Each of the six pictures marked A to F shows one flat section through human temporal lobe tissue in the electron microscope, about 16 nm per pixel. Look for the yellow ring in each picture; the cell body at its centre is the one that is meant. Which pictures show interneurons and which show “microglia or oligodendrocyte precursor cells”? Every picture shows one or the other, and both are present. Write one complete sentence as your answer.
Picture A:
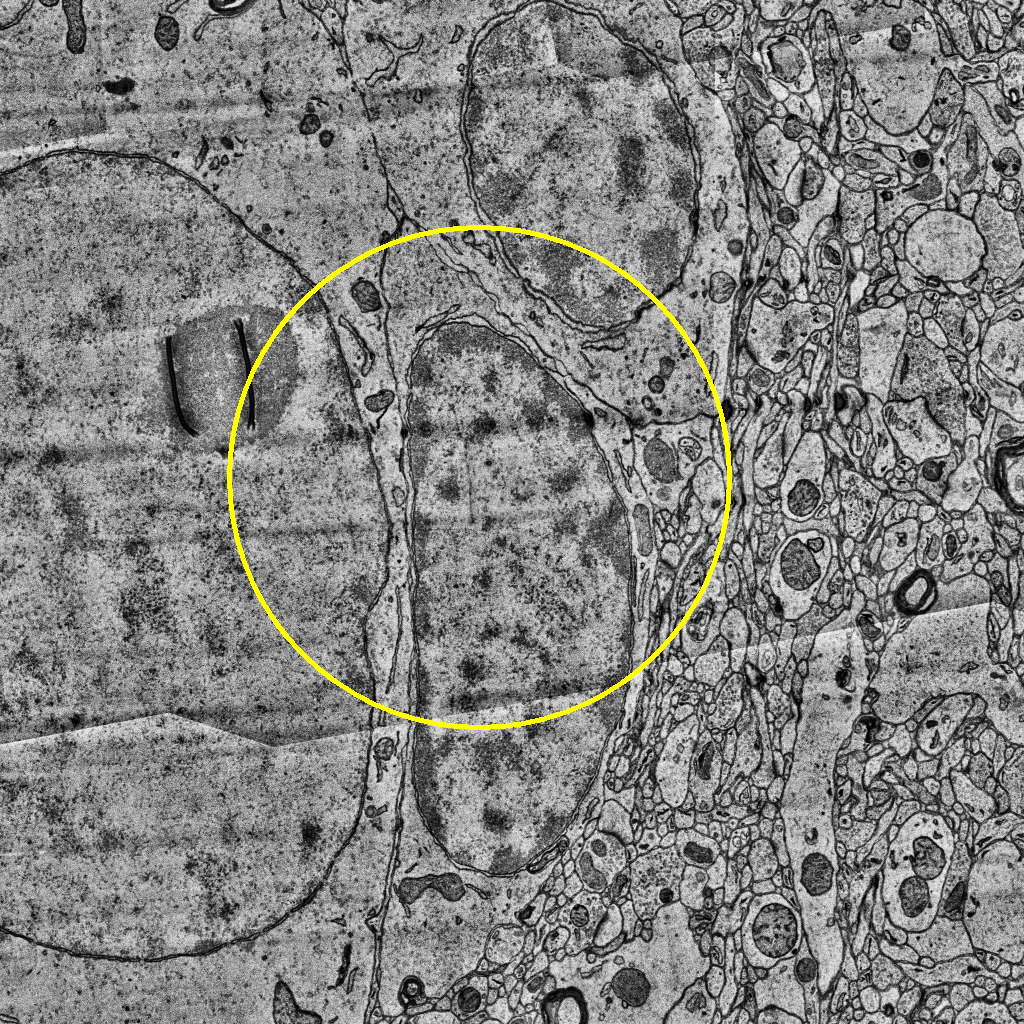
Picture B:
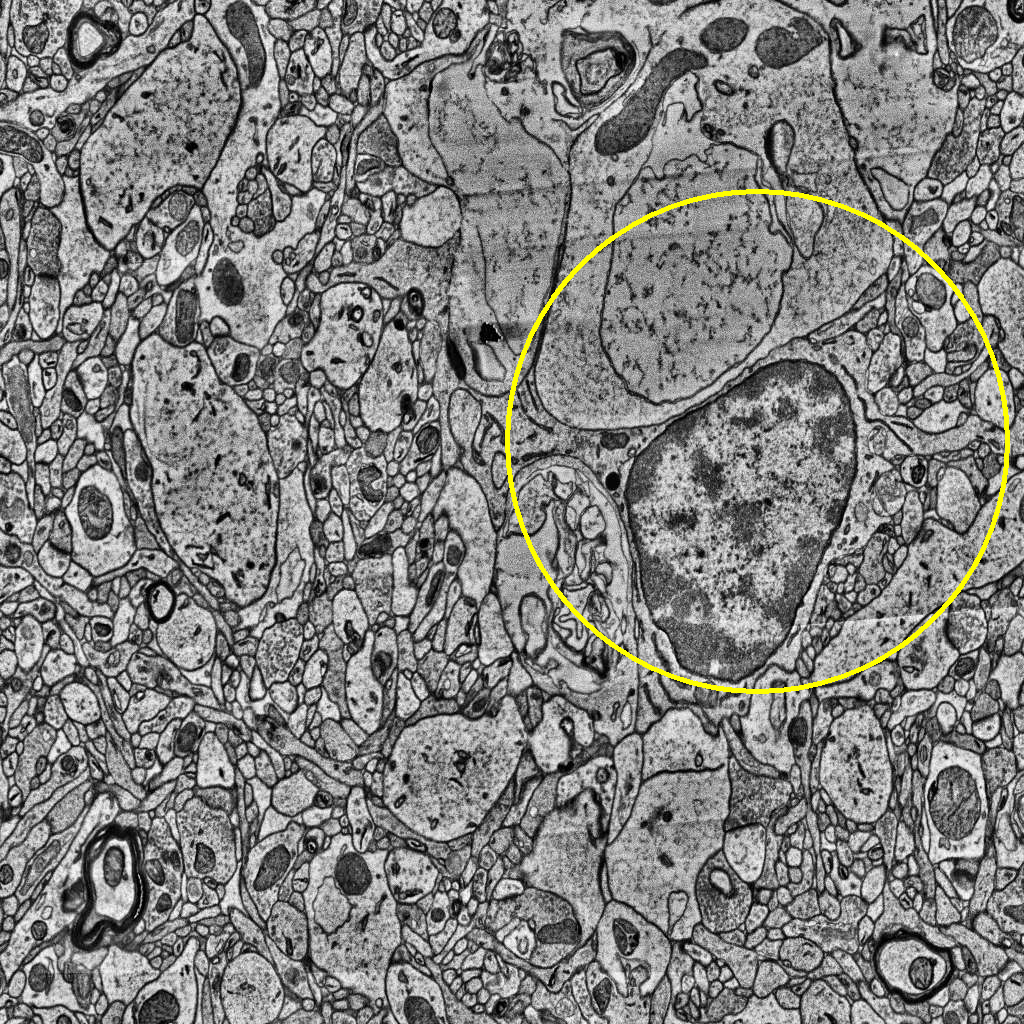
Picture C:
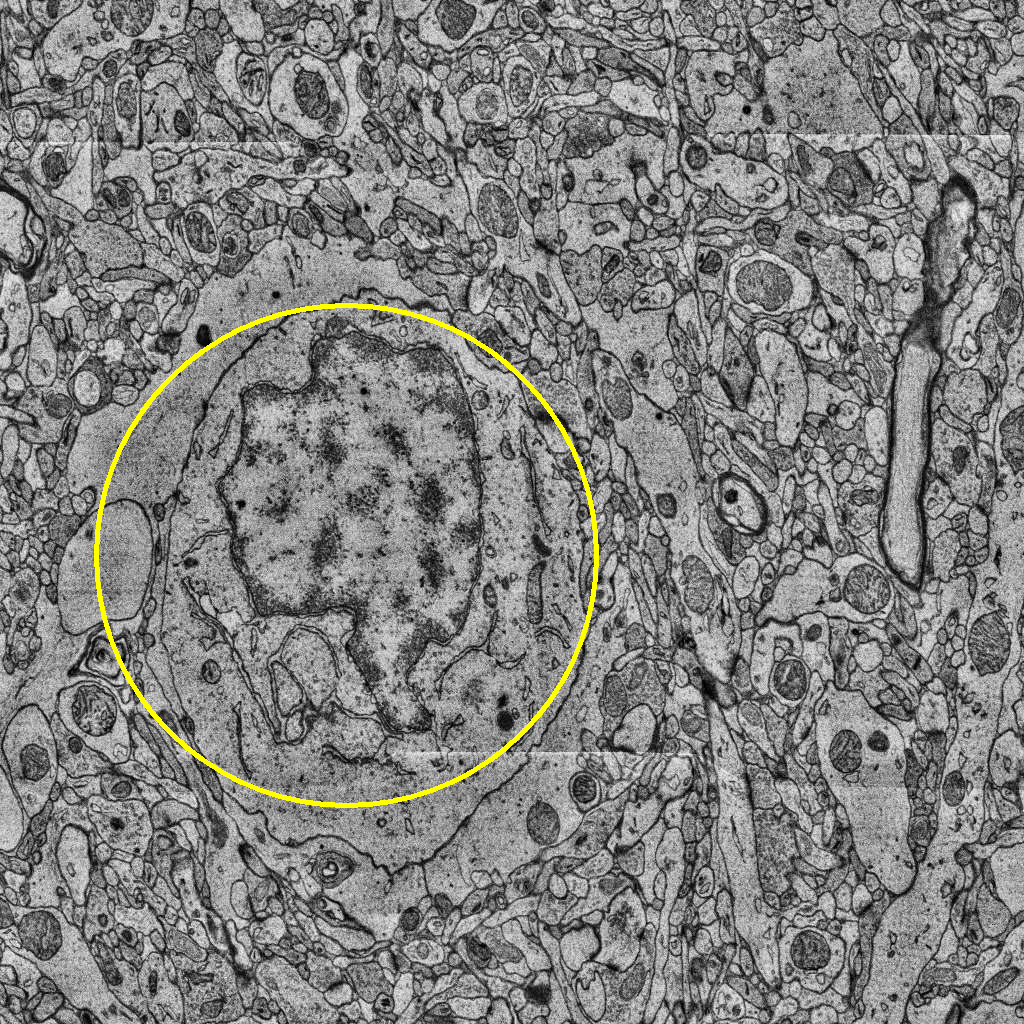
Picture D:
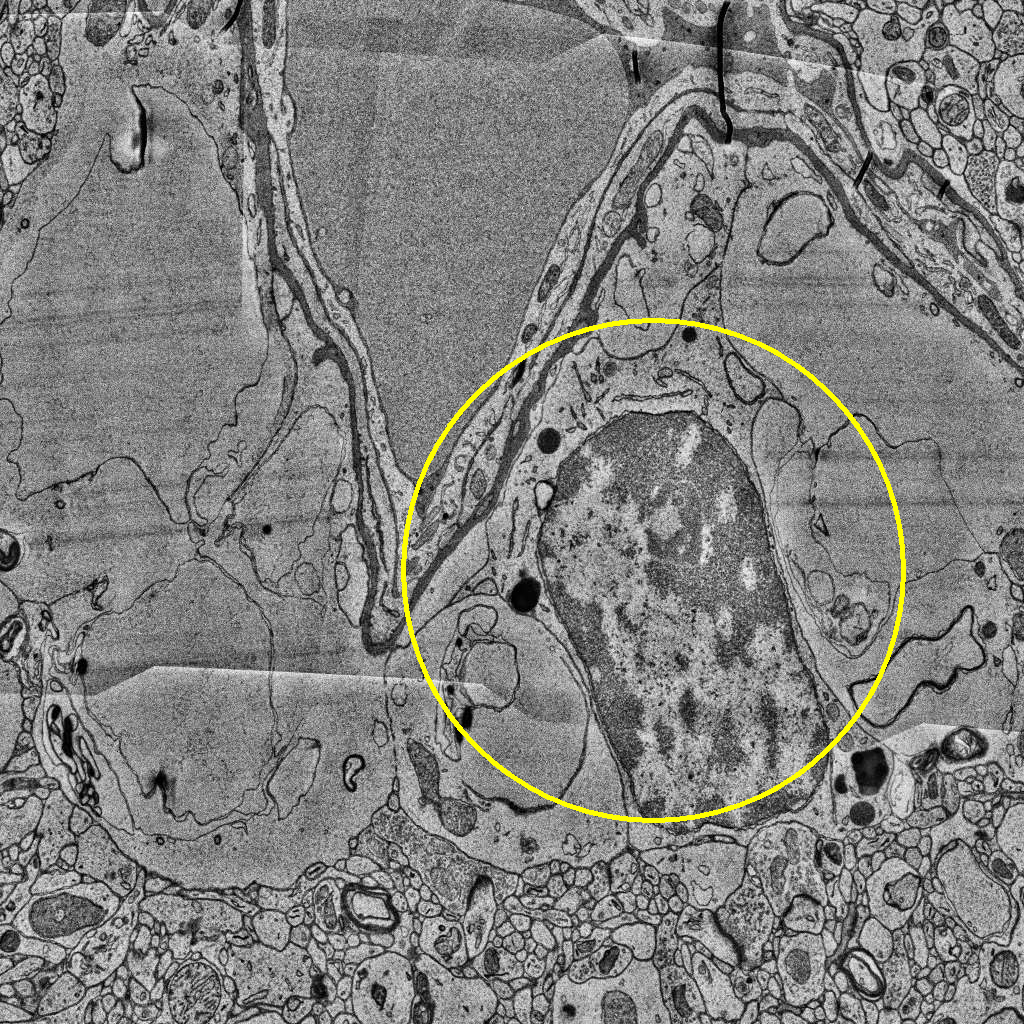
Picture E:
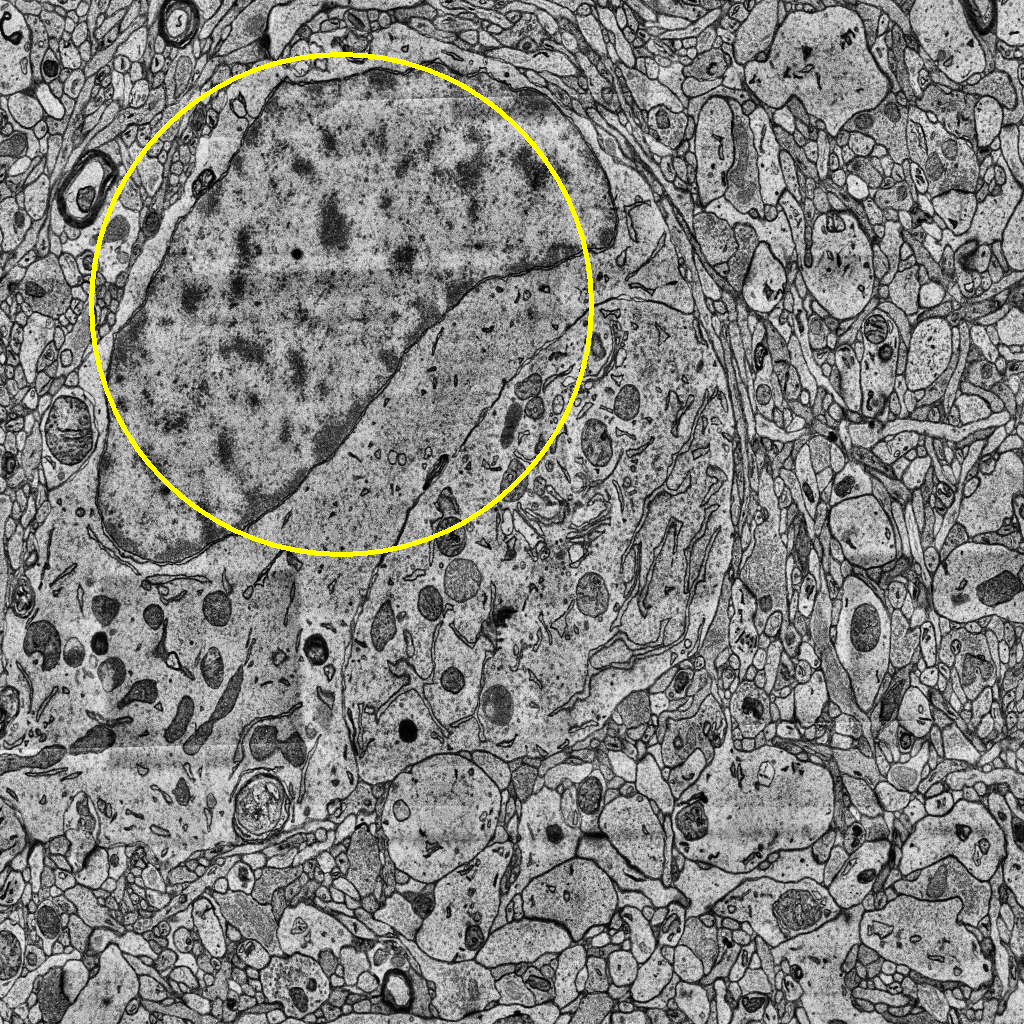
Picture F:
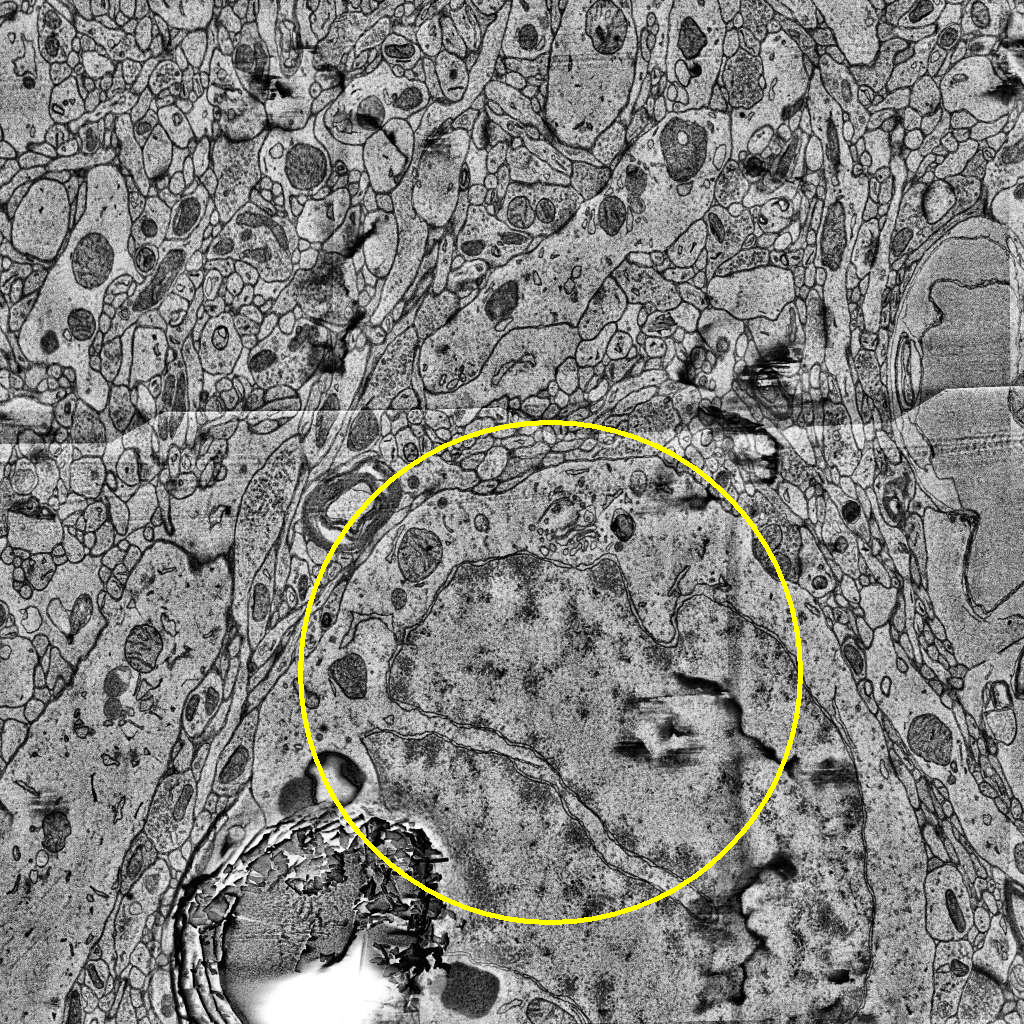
Pictures C and F show interneurons, while pictures A, B, D and E show “microglia or oligodendrocyte precursor cells”.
